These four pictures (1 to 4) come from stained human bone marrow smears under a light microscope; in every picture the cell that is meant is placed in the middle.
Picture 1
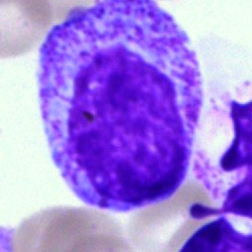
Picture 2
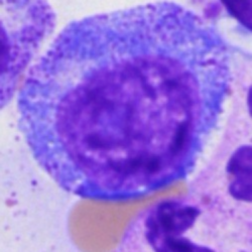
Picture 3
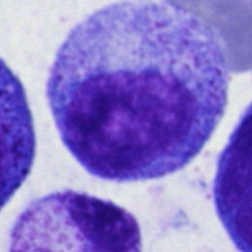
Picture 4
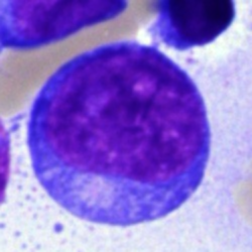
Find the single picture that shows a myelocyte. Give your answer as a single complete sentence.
The cell in picture 1 is the myelocyte.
